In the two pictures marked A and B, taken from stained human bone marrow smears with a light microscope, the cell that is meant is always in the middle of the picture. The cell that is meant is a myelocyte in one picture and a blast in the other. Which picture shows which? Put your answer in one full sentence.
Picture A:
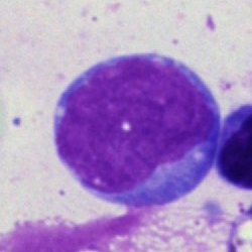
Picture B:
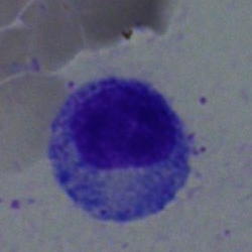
Picture B shows a myelocyte, while picture A shows a blast.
